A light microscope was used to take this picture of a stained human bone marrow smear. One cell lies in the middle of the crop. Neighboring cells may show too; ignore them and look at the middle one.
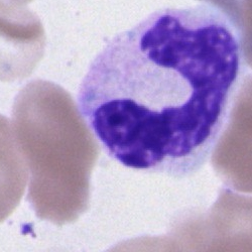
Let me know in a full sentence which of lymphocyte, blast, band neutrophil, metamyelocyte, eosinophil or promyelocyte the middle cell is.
Looking at the middle of the crop, the cell there is a band neutrophil.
